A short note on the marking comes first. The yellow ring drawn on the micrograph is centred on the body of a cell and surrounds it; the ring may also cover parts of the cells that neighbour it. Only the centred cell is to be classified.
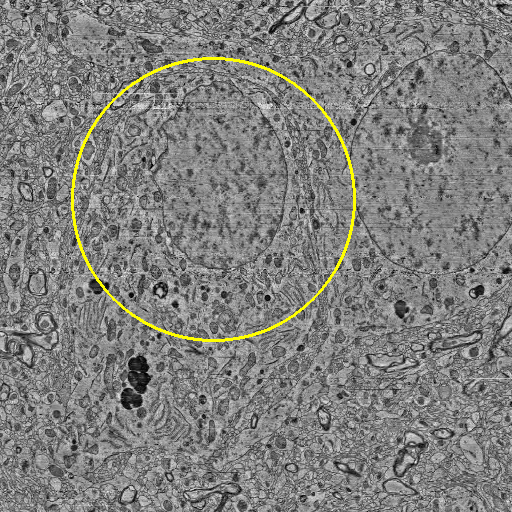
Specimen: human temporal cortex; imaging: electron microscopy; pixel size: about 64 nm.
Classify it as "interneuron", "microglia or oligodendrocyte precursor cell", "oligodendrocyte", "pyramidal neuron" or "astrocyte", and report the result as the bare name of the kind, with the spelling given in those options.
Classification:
interneuron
